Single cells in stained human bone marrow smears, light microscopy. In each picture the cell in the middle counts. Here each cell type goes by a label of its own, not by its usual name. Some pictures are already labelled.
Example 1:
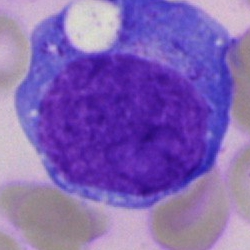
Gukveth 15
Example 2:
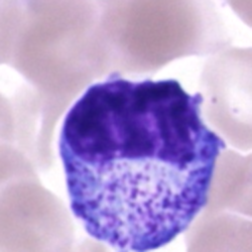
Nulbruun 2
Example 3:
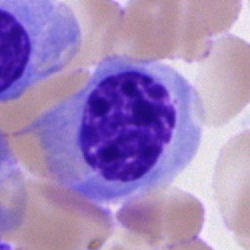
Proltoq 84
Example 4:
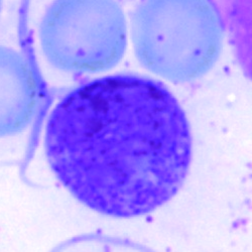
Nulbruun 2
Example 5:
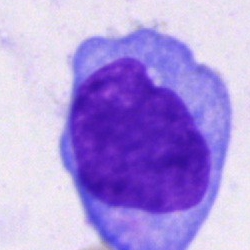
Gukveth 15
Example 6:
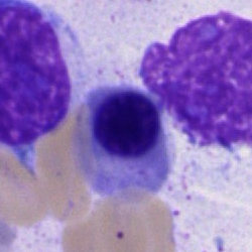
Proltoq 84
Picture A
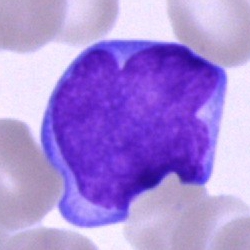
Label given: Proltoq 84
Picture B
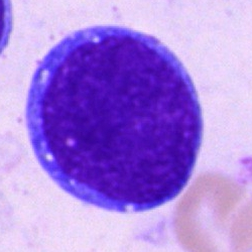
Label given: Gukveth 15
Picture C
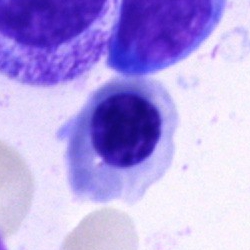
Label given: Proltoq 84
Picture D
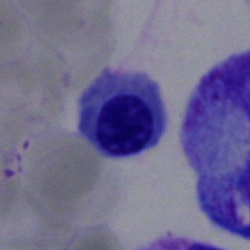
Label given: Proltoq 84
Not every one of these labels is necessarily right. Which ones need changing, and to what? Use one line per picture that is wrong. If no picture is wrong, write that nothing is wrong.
Wrong: A (Proltoq 84); correct: Gukveth 15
